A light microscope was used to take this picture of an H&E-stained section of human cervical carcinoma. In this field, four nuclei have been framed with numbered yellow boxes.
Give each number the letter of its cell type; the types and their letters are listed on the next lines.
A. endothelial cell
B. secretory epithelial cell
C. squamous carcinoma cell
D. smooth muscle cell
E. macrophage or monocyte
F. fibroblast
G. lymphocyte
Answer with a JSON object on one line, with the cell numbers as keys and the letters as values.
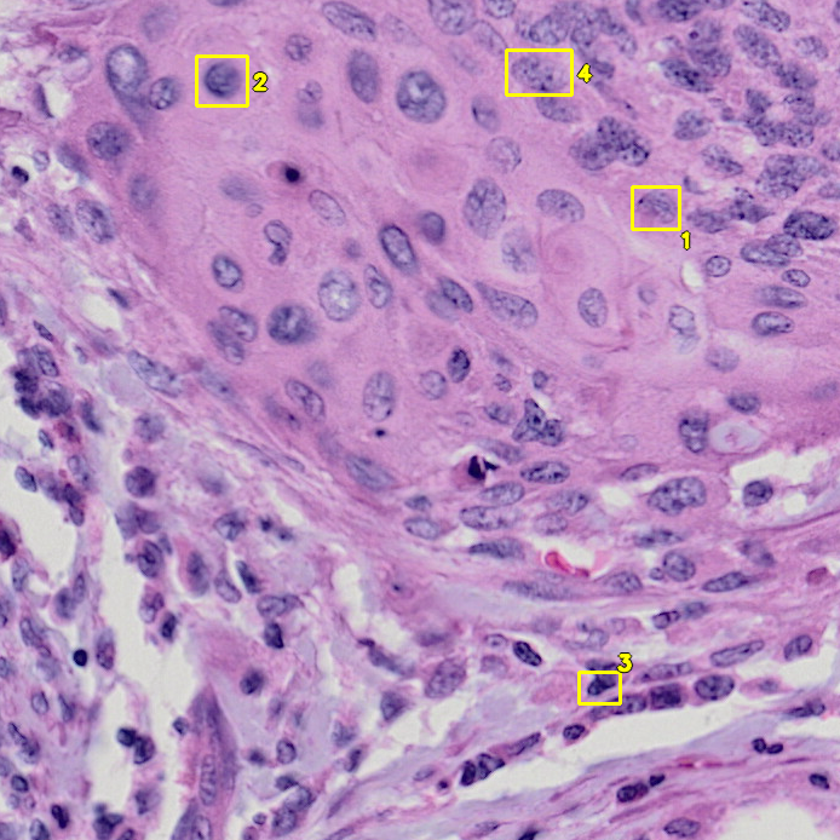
{"1": "C", "2": "C", "3": "G", "4": "C"}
